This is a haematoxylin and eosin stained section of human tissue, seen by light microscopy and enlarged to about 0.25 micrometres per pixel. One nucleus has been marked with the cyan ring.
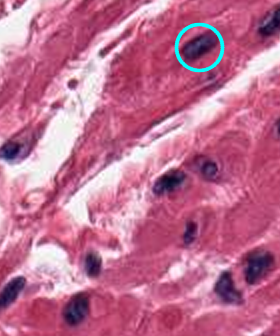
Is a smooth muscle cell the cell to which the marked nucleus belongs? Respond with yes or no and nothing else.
yes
